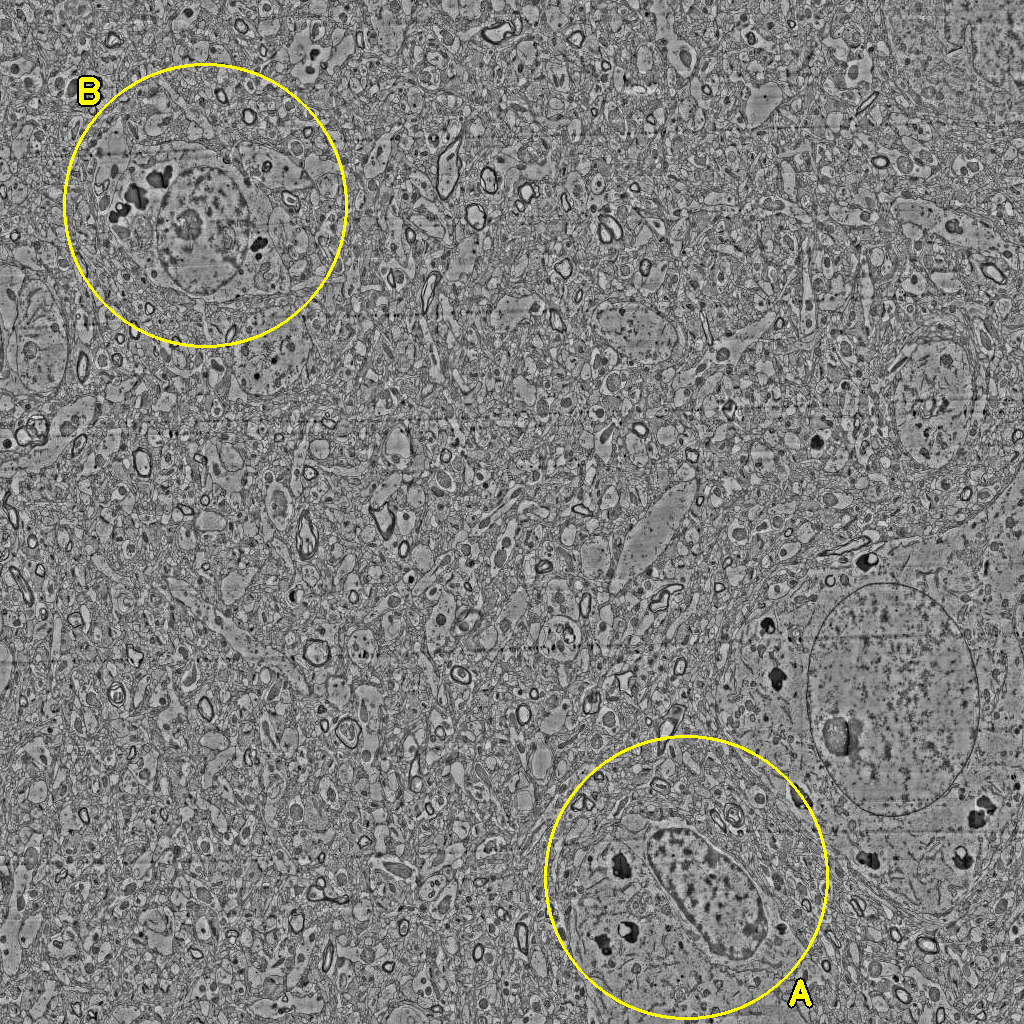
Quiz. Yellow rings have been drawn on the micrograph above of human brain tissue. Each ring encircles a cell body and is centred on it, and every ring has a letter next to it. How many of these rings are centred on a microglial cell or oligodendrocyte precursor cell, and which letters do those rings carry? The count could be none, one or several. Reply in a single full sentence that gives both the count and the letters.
Just one yellow ring in the micrograph centres on a microglial cell or oligodendrocyte precursor cell, and it is labelled A.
